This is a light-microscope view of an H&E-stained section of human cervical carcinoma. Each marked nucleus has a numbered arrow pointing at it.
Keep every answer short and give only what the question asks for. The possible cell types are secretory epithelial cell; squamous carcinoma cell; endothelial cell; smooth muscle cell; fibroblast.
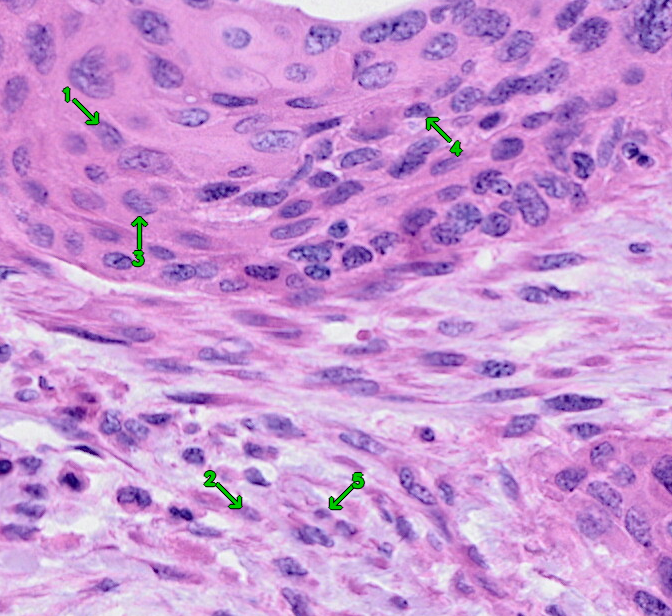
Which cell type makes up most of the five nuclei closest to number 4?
squamous carcinoma cell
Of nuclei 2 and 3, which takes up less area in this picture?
2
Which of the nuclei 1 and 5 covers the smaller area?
5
